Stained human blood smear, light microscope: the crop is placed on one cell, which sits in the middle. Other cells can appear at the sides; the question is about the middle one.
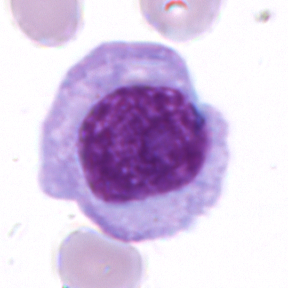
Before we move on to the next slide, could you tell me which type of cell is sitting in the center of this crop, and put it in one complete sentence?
Seen at the centre of the crop is a plasma cell.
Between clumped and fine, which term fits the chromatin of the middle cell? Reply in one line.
Answer: the chromatin is fine and has no coarse clumps.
